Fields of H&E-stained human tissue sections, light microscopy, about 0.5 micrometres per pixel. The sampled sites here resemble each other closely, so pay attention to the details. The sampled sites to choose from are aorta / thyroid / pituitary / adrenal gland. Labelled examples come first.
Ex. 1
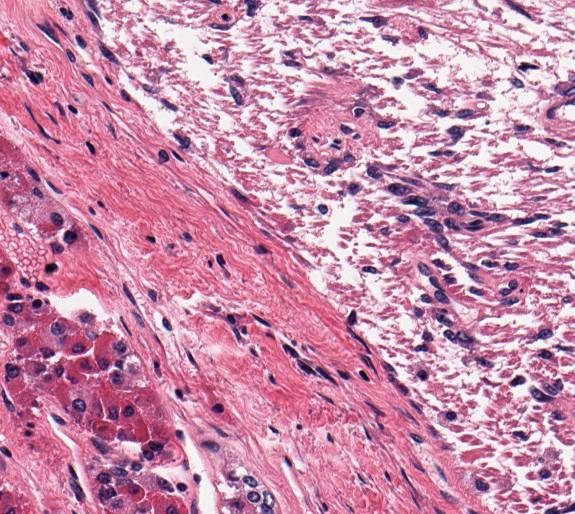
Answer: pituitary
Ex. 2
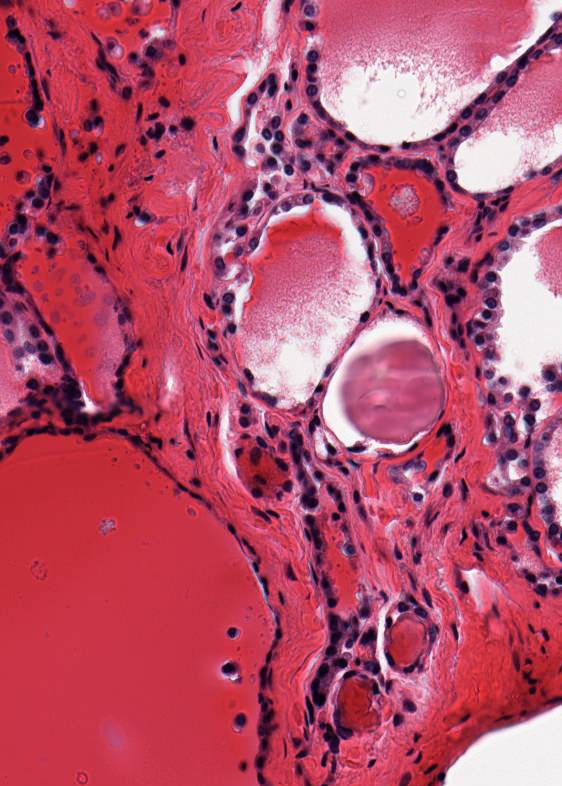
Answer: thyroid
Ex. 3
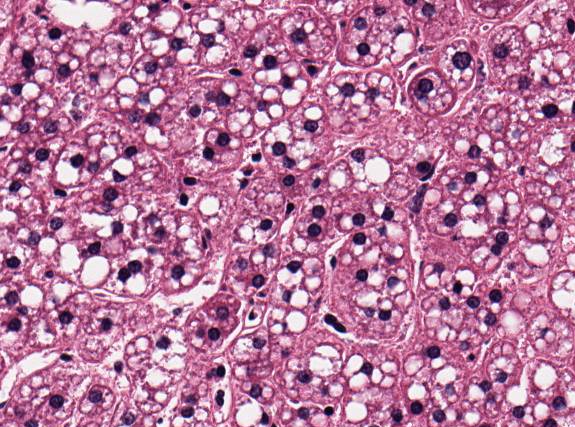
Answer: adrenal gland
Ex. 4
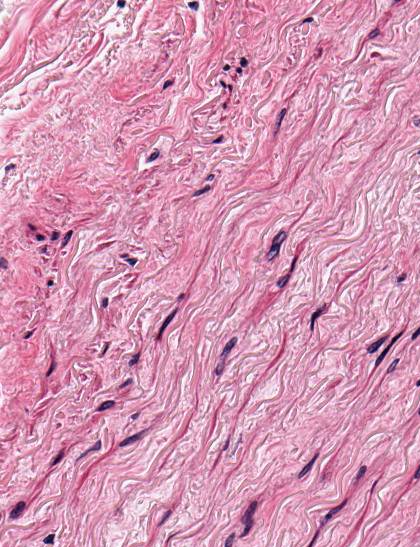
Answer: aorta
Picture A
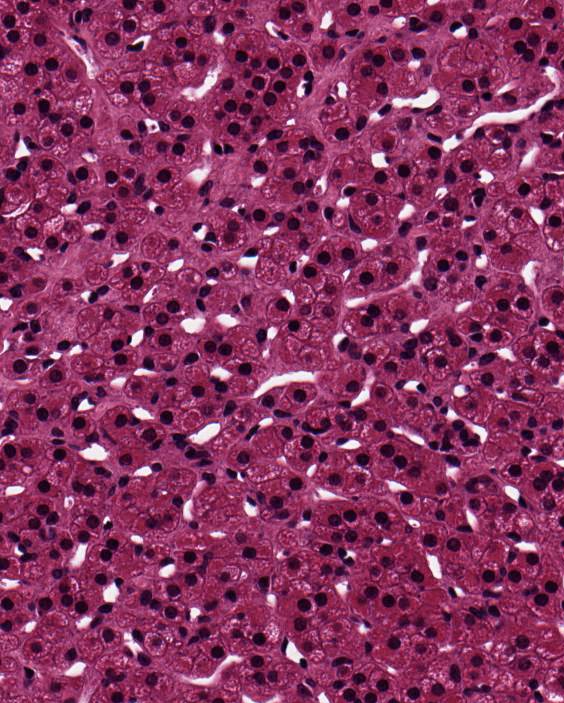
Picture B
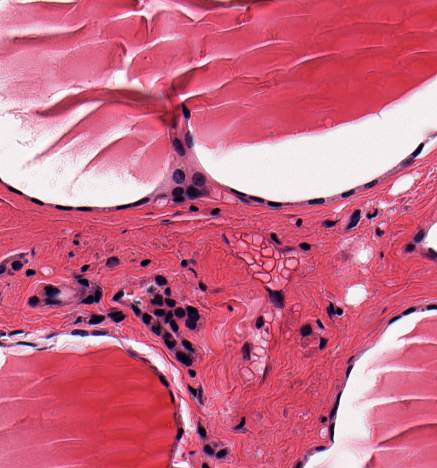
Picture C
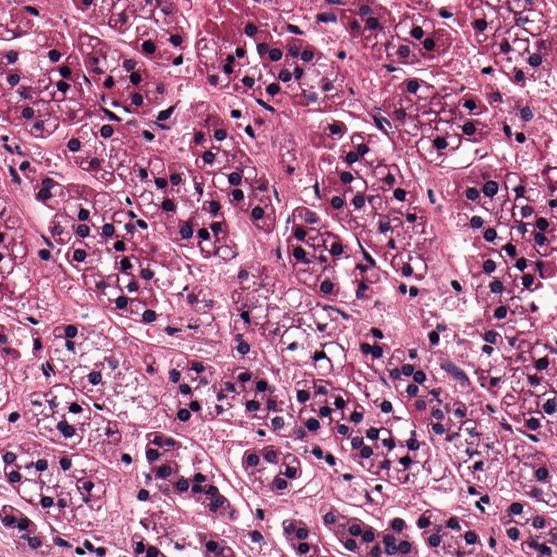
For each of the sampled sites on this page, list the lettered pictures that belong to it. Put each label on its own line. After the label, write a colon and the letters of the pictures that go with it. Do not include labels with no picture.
thyroid: B
adrenal gland: A, C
